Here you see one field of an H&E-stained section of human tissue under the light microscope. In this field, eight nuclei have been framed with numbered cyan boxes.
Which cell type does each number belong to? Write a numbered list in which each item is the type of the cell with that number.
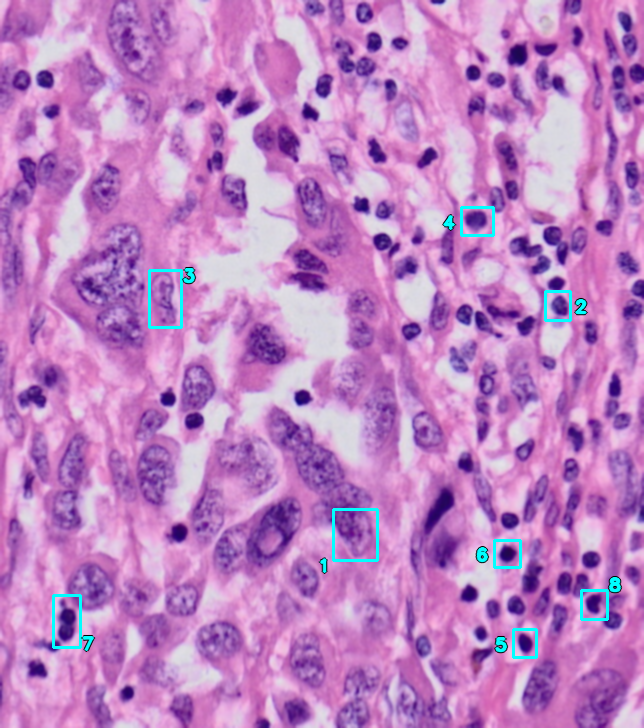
1. melanoma cell
2. lymphocyte
3. melanoma cell
4. plasma cell
5. lymphocyte
6. lymphocyte
7. lymphocyte
8. lymphocyte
